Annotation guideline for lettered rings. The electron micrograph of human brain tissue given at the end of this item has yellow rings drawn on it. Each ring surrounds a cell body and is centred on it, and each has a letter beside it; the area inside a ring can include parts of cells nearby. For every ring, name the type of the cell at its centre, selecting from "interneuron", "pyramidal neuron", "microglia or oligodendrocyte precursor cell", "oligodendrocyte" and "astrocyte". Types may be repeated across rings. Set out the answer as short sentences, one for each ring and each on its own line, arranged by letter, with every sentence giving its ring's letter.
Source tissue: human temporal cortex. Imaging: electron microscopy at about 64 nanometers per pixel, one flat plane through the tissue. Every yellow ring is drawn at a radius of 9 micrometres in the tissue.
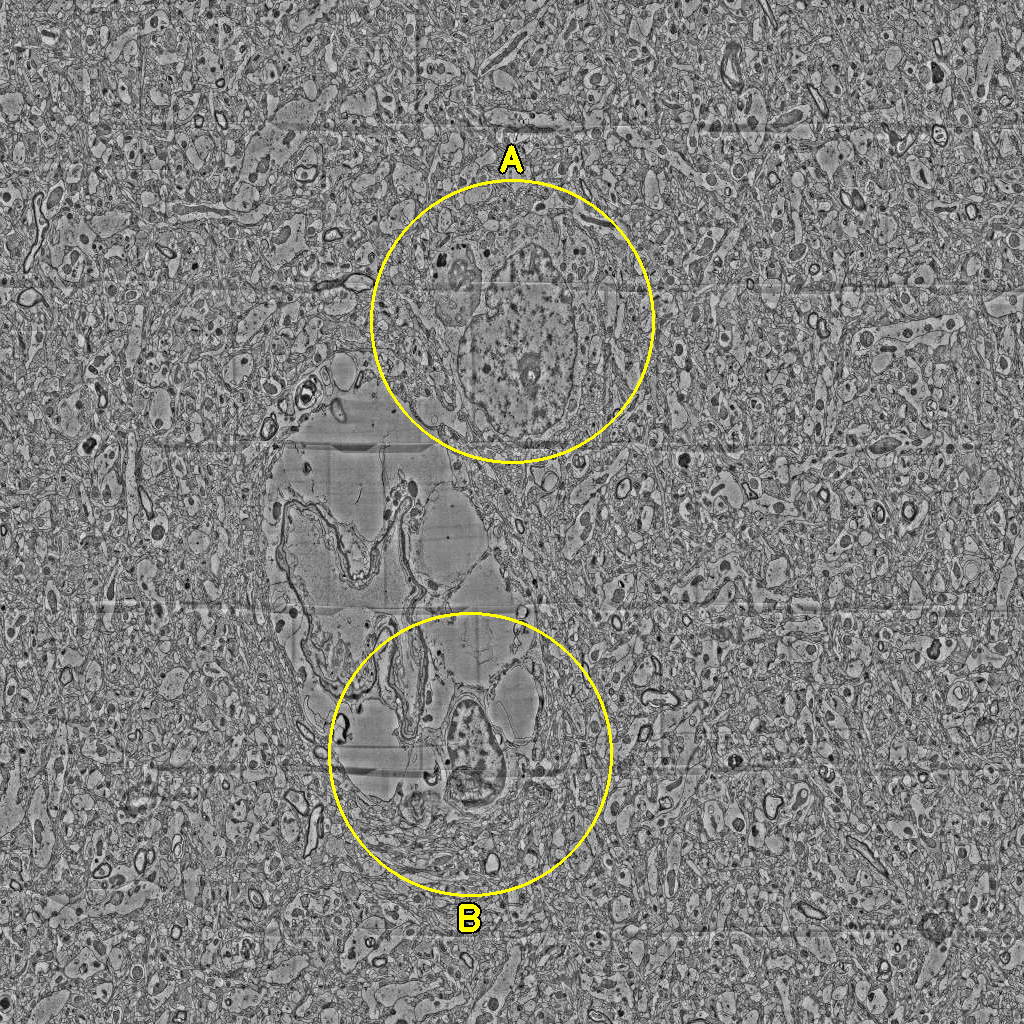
The cell centred in ring A is an interneuron.
The cell centred in ring B is a microglial cell or oligodendrocyte precursor cell.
